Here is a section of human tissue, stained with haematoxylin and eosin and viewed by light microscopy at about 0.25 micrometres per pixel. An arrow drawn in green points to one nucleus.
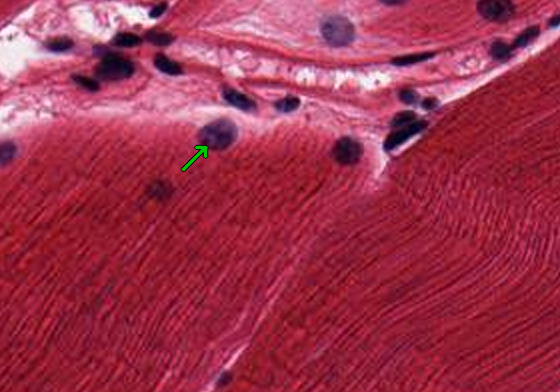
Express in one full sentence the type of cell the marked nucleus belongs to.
The marked nucleus is located in a skeletal muscle fibre.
